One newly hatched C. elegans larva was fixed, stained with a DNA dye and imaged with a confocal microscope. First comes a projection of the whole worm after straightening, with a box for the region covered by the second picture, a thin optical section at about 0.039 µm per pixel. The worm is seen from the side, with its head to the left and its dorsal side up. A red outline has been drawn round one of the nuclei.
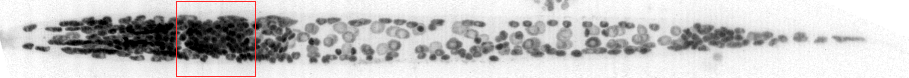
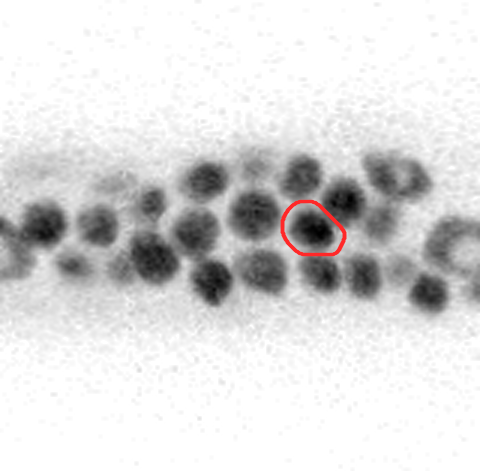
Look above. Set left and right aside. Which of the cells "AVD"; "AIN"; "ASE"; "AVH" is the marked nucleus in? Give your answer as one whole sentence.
It belongs to AVD, a neuron.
